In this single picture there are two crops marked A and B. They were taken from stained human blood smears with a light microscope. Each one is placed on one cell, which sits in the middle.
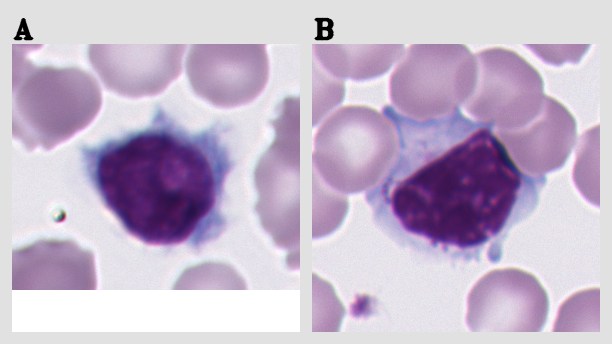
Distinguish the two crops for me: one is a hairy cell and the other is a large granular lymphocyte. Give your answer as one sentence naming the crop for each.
Crop A is classified as a hairy cell, and crop B as a large granular lymphocyte.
